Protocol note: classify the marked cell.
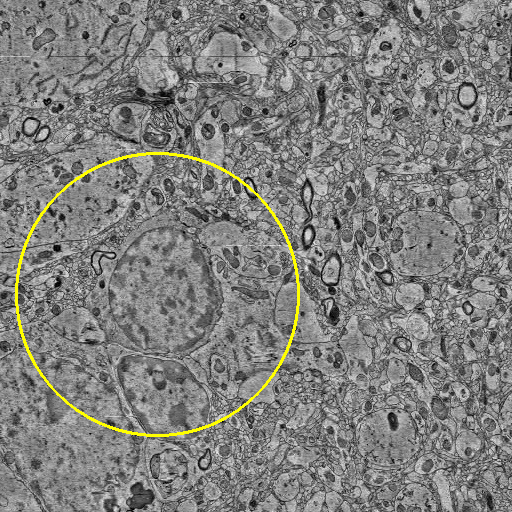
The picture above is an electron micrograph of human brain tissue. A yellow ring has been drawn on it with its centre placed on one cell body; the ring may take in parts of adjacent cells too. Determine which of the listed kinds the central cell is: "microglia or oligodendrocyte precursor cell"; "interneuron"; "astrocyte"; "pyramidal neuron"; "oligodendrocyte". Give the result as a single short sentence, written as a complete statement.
The central cell is an astrocyte.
